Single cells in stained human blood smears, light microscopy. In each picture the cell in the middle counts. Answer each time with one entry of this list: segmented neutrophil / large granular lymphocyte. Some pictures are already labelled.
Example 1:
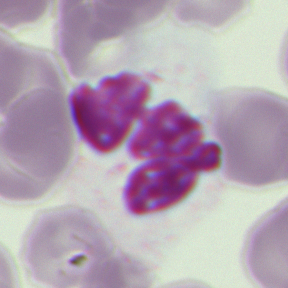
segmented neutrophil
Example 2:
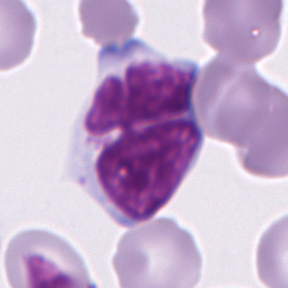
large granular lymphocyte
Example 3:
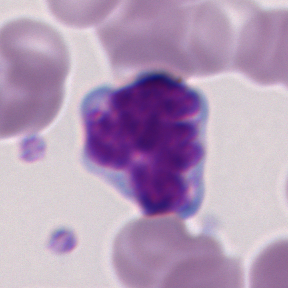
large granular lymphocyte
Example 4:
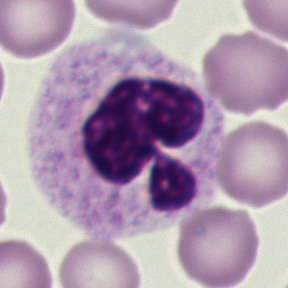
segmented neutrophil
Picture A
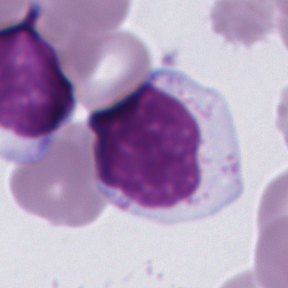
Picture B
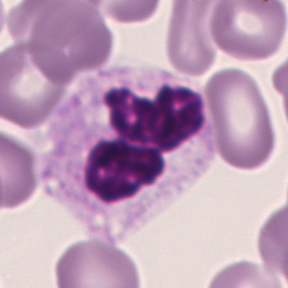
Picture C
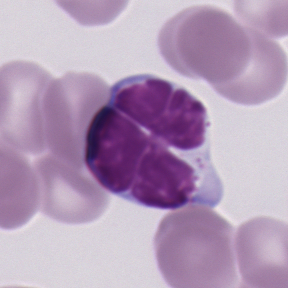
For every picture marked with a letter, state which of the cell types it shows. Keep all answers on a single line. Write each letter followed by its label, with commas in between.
A large granular lymphocyte, B segmented neutrophil, C large granular lymphocyte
